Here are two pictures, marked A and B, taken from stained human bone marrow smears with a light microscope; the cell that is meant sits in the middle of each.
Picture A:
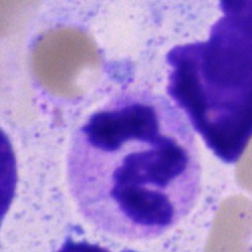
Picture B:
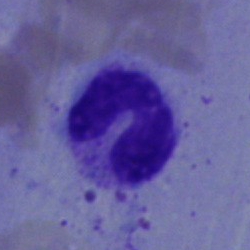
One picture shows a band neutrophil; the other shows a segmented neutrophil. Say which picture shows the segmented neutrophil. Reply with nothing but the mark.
A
